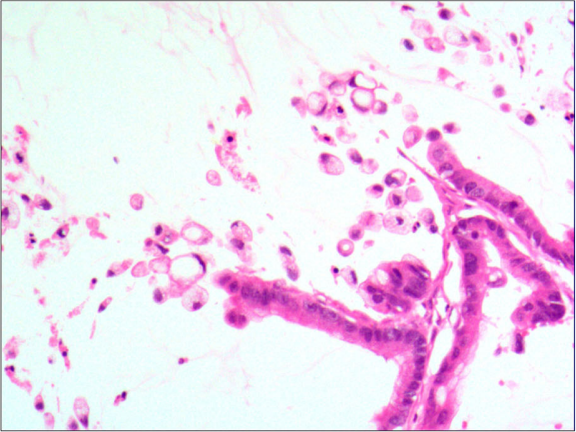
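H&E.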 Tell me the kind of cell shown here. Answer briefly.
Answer: Signet ring cell carcinoma cells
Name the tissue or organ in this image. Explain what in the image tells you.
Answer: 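Branching strips of tall cells line thin stromal cores. The cells stand side by side in a single layer. Nuclei are elongated and crowded.
Conclusion: differentiated adenocarcinoma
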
